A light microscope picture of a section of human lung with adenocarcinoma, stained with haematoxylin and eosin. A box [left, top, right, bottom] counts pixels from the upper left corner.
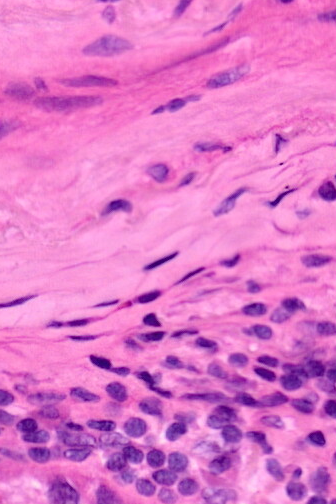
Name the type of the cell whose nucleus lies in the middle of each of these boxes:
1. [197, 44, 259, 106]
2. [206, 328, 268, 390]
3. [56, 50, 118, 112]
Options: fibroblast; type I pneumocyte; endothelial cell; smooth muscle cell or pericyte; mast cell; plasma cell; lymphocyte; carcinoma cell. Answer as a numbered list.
1. smooth muscle cell or pericyte
2. lymphocyte
3. smooth muscle cell or pericyte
